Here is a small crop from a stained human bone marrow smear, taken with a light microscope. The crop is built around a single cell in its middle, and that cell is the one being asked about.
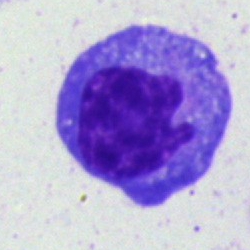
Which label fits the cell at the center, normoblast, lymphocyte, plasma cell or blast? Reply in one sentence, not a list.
In the middle of this smear crop is a plasma cell.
